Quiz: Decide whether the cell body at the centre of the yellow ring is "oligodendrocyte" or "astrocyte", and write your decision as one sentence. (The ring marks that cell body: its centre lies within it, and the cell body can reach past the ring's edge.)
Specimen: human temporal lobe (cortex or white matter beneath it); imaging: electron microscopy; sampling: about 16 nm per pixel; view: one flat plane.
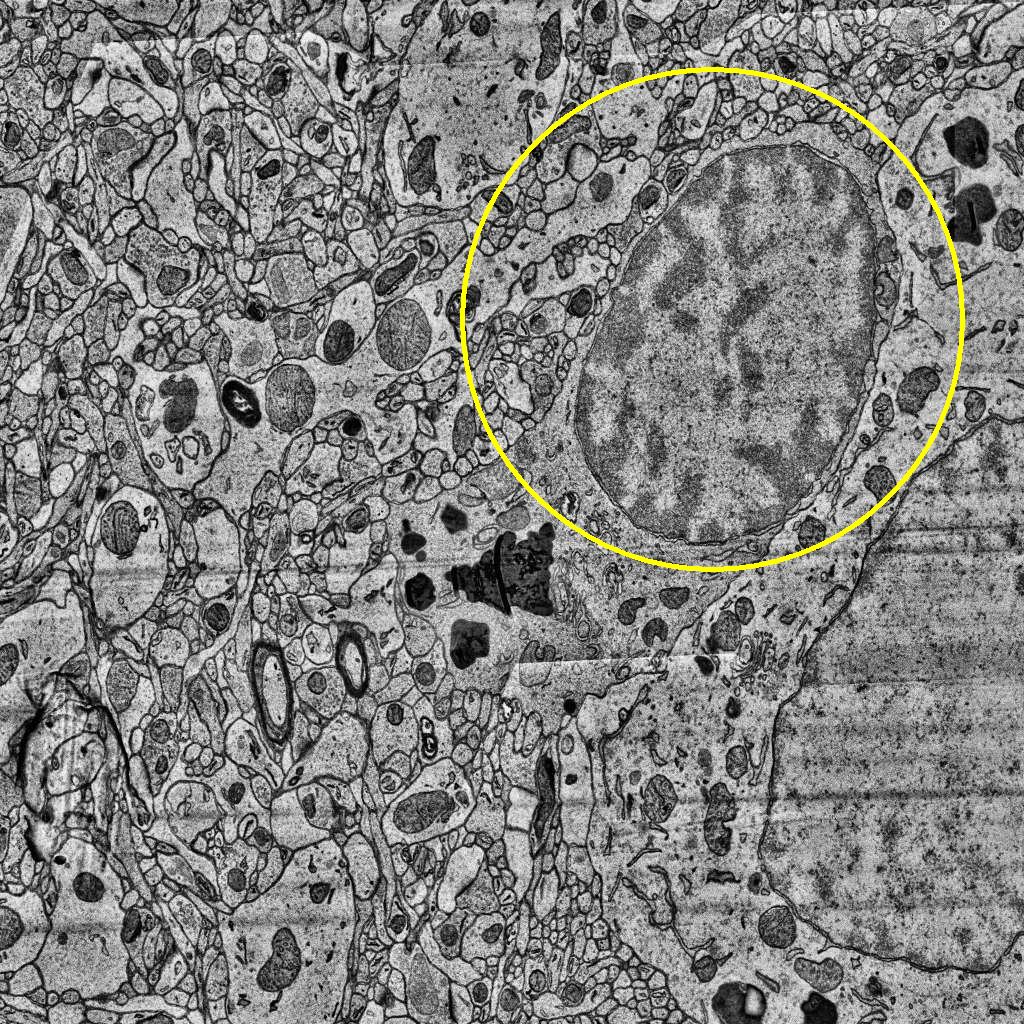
The cell holding the ring's centre is an oligodendrocyte.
